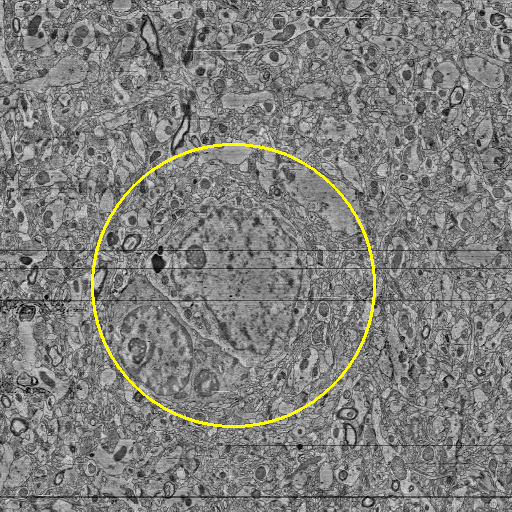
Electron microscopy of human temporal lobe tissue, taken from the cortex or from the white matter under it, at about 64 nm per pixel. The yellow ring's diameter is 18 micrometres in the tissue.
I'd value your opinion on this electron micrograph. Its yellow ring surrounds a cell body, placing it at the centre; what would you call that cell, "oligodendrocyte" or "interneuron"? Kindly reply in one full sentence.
It is an interneuron that sits centred within the yellow ring in this micrograph.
